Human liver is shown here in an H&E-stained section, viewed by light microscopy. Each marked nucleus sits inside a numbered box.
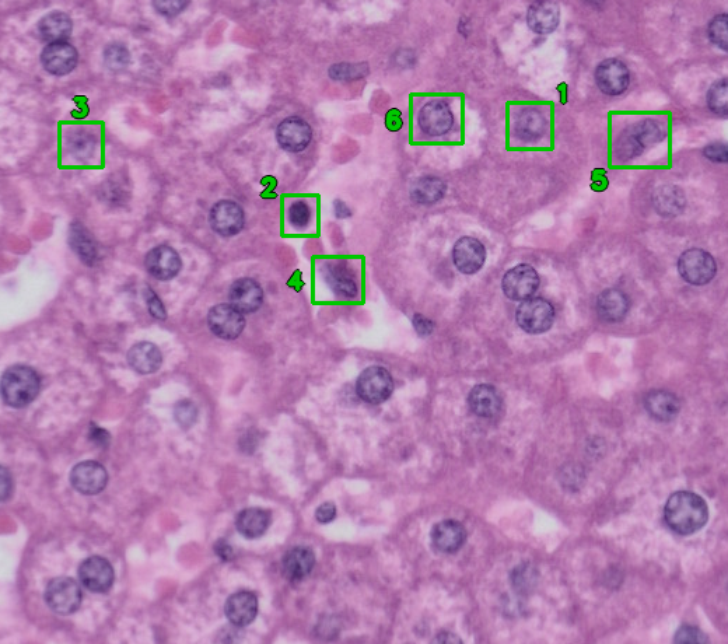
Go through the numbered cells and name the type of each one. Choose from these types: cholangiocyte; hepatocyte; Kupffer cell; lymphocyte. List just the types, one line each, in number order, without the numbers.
hepatocyte
lymphocyte
hepatocyte
Kupffer cell
Kupffer cell
hepatocyte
